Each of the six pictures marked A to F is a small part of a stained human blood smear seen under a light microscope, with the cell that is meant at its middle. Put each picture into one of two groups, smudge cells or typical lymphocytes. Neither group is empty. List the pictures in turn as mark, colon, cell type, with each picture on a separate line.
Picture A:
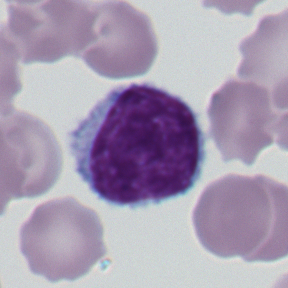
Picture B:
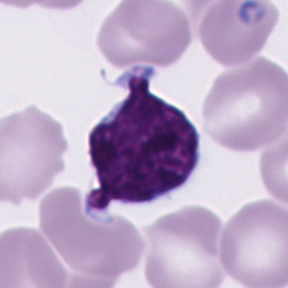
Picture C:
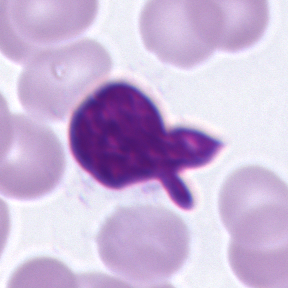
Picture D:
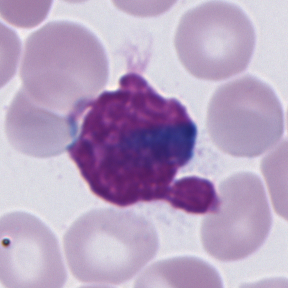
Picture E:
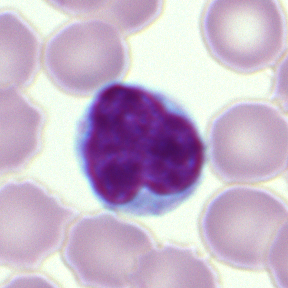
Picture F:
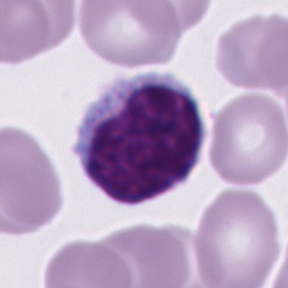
A: typical lymphocyte
B: typical lymphocyte
C: smudge cell
D: smudge cell
E: typical lymphocyte
F: typical lymphocyte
